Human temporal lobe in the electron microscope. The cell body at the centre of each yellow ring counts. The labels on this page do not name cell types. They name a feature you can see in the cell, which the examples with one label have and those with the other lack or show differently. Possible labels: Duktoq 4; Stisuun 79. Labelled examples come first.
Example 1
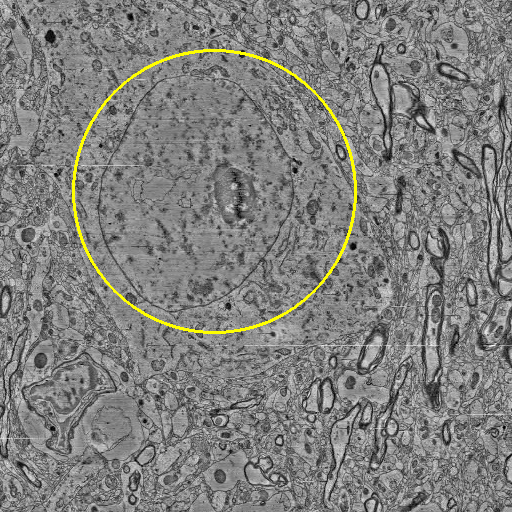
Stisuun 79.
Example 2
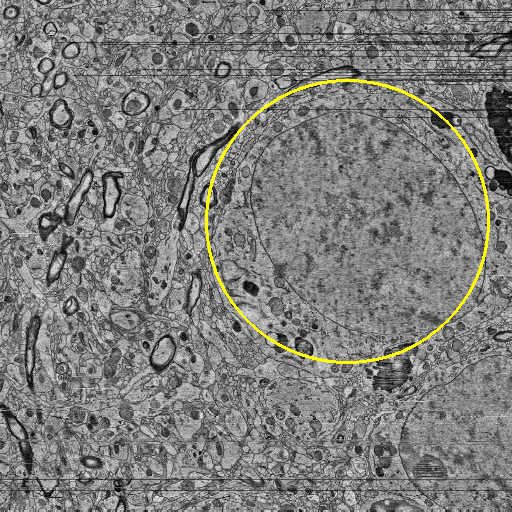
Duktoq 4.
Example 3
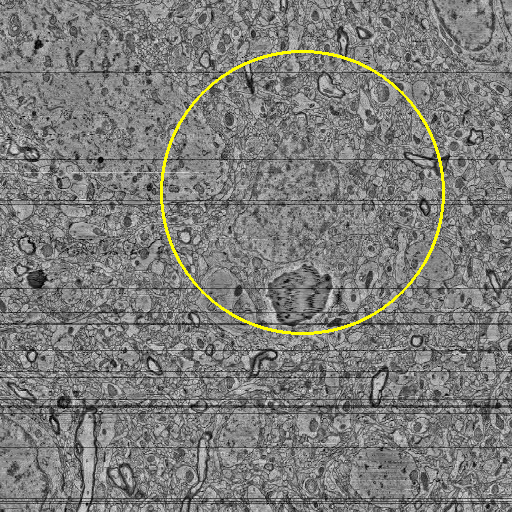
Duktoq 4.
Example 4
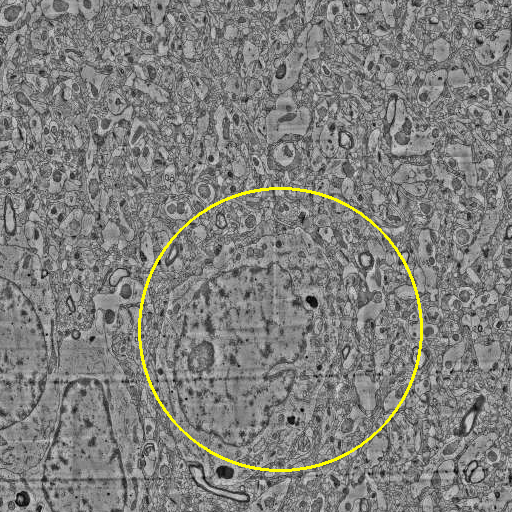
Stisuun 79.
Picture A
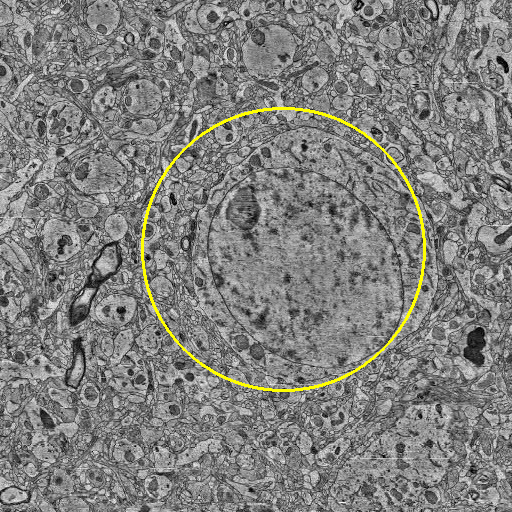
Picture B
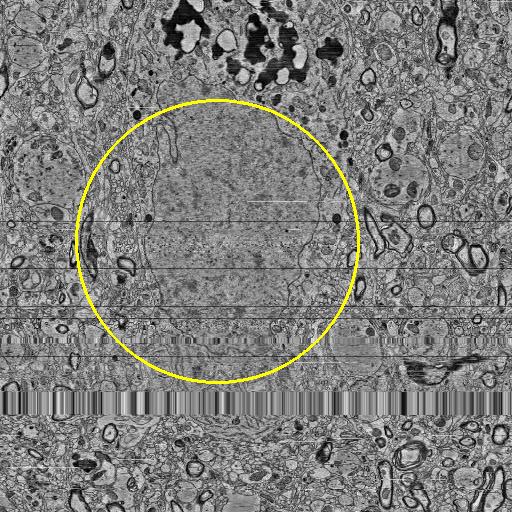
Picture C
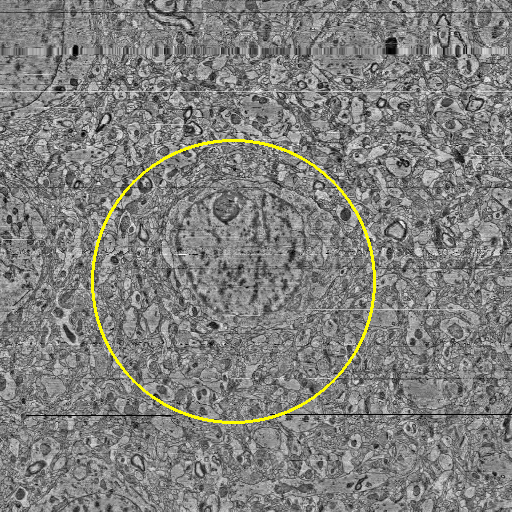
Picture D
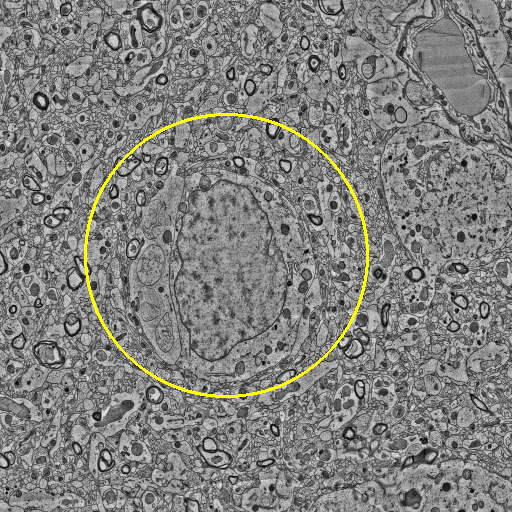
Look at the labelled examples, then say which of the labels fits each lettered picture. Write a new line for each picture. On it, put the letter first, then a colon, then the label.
A: Stisuun 79.
B: Duktoq 4.
C: Stisuun 79.
D: Duktoq 4.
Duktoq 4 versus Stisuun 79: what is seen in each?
Duktoq 4, no nucleolus seen; Stisuun 79, nucleolus seen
